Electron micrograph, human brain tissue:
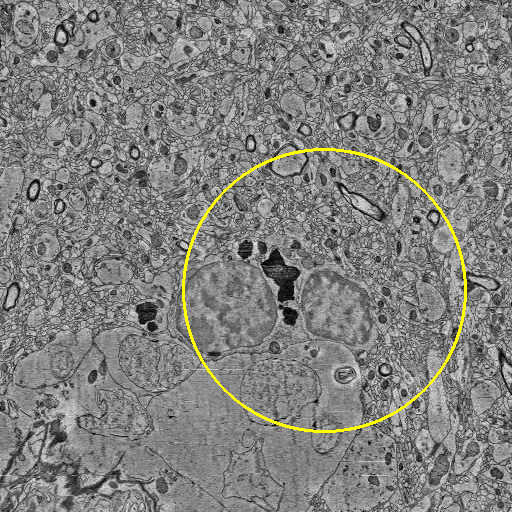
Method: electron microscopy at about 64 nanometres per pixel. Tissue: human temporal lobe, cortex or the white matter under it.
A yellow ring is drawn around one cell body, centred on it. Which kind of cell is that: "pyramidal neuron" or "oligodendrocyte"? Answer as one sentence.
It is an oligodendrocyte at the centre of the ring.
